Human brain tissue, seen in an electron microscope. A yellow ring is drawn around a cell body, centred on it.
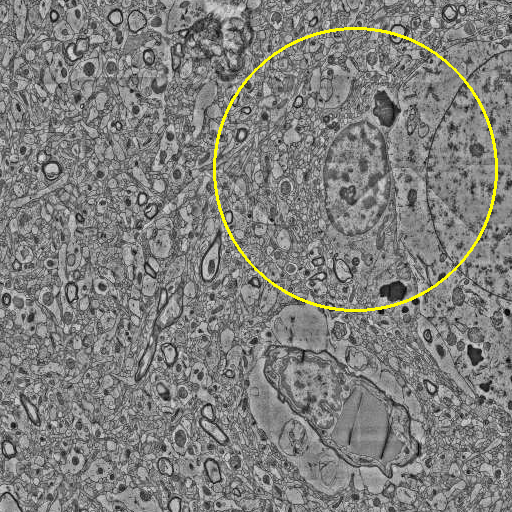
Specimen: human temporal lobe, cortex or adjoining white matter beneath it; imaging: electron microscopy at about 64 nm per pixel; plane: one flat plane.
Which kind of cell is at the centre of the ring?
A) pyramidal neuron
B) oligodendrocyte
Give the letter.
B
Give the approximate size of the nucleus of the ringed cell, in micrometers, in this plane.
The nucleus of the ringed cell is approximately 7 by 5 micrometres in this plane.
